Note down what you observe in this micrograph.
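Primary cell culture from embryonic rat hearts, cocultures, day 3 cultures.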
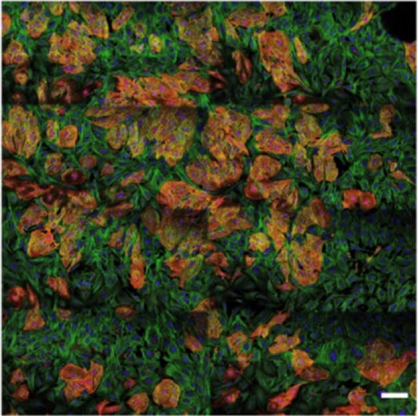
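The cardiomyocytes appear as rounded or polygonal orange-red cells, often in small clusters, scattered across the field. Between them lies a dense layer of flattened, spread non-myocyte cells with green filaments and single blue nuclei. The two kinds of cell are roughly intermixed, with the red cells sitting on or among the green layer.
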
